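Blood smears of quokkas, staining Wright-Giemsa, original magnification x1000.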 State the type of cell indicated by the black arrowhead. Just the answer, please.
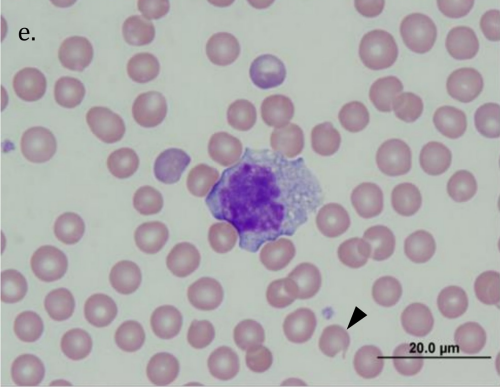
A: Keratocyte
